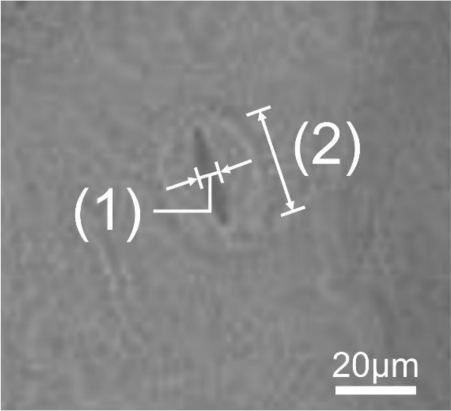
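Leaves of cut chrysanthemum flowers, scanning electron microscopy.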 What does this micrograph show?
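The image shows the surface of a leaf epidermis with a single stoma near its centre. The stoma appears as a narrow, dark, slit-like pore running obliquely, bordered by a pair of guard cells that together form an oval outline. Two white measuring lines mark the short width of the pore and the long axis of the stoma.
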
